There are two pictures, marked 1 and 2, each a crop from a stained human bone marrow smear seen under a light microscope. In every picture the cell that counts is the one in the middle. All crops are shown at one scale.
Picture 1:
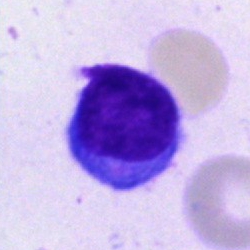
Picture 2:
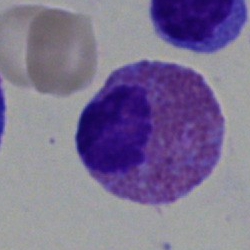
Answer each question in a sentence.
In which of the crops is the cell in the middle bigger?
Larger is the cell in picture 2, at roughly 1.5 times the area of the other.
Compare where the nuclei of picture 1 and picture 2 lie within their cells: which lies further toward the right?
Seen within its cell, the nucleus in picture 1 lies further toward the right.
